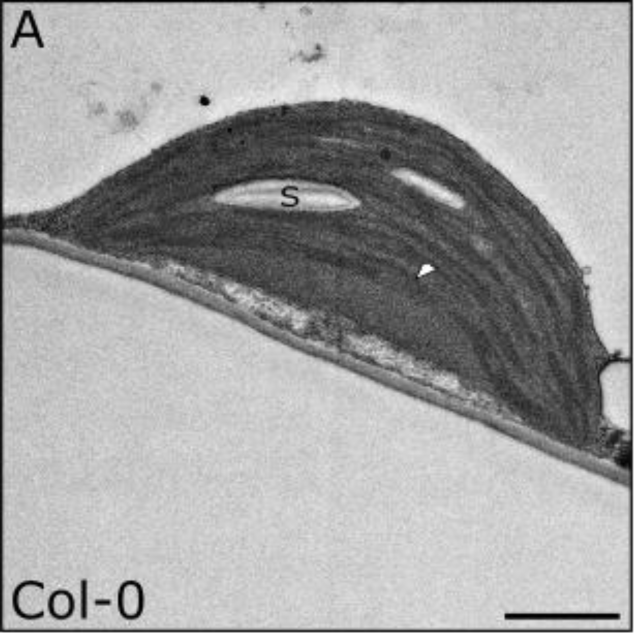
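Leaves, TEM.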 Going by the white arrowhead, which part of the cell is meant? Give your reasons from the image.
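Thylakoid membranes. The arrowhead points at dark, parallel stacked membrane bands inside the organelle. The bands run lengthwise through the lens-shaped organelle.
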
